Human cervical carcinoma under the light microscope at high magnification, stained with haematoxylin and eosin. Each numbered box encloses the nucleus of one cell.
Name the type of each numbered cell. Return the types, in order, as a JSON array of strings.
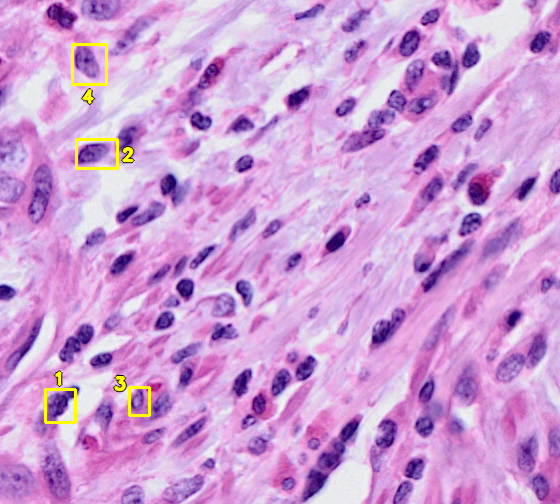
["lymphocyte", "macrophage or monocyte", "endothelial cell", "macrophage or monocyte"]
